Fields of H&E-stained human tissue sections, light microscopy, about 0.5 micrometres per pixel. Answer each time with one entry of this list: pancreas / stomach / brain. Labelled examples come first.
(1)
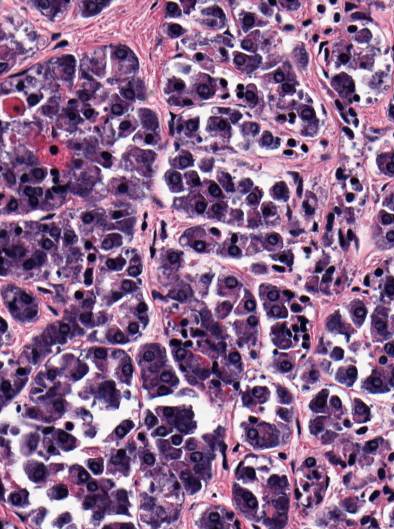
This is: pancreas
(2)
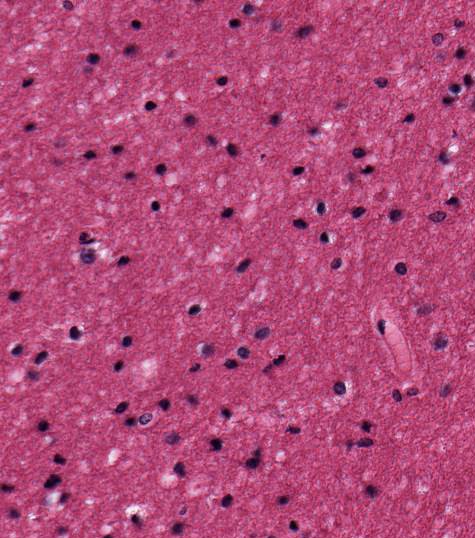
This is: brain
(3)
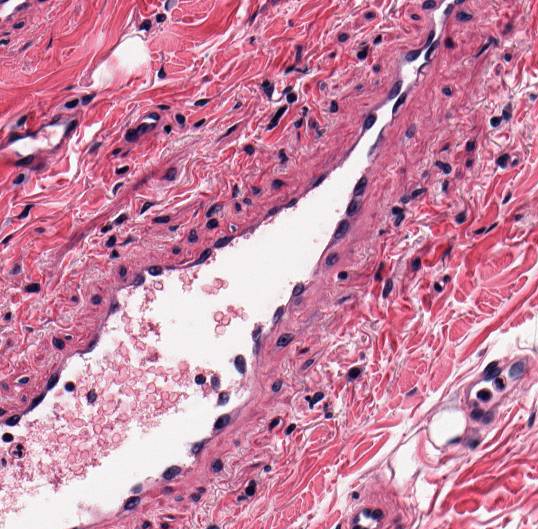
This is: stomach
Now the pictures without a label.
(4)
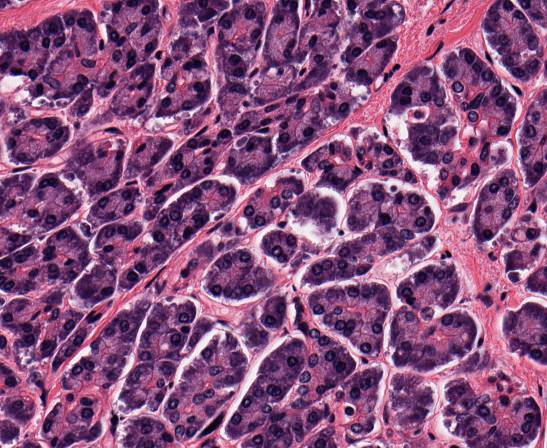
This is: pancreas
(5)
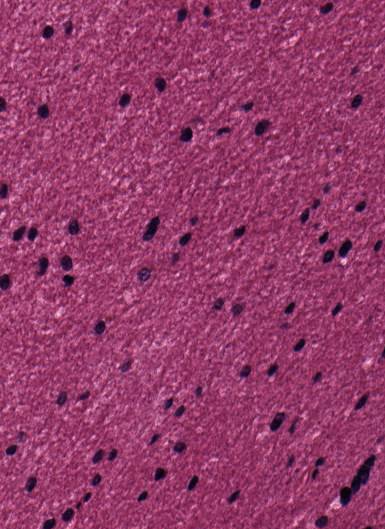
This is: brain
